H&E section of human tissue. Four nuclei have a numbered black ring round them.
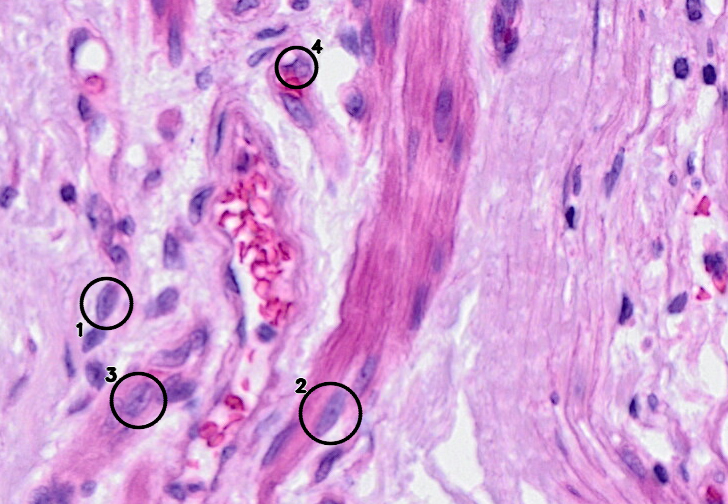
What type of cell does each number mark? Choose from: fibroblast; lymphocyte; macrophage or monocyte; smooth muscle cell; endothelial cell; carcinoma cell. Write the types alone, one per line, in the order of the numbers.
fibroblast
smooth muscle cell
endothelial cell
endothelial cell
